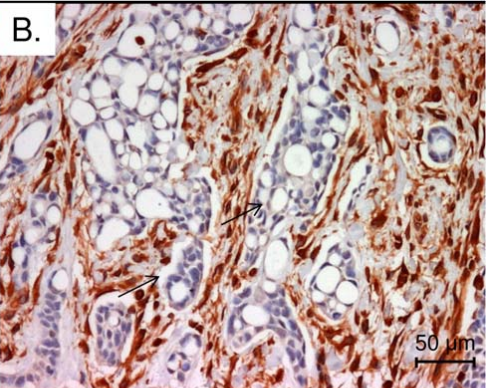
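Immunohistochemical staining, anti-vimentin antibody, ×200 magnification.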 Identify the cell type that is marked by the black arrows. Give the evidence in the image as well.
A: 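Tumour cells. Arrows point to nests of rounded epithelioid cells with blue nuclei. The nests contain clear vacuole-like spaces and are surrounded by brown spindle cells.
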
